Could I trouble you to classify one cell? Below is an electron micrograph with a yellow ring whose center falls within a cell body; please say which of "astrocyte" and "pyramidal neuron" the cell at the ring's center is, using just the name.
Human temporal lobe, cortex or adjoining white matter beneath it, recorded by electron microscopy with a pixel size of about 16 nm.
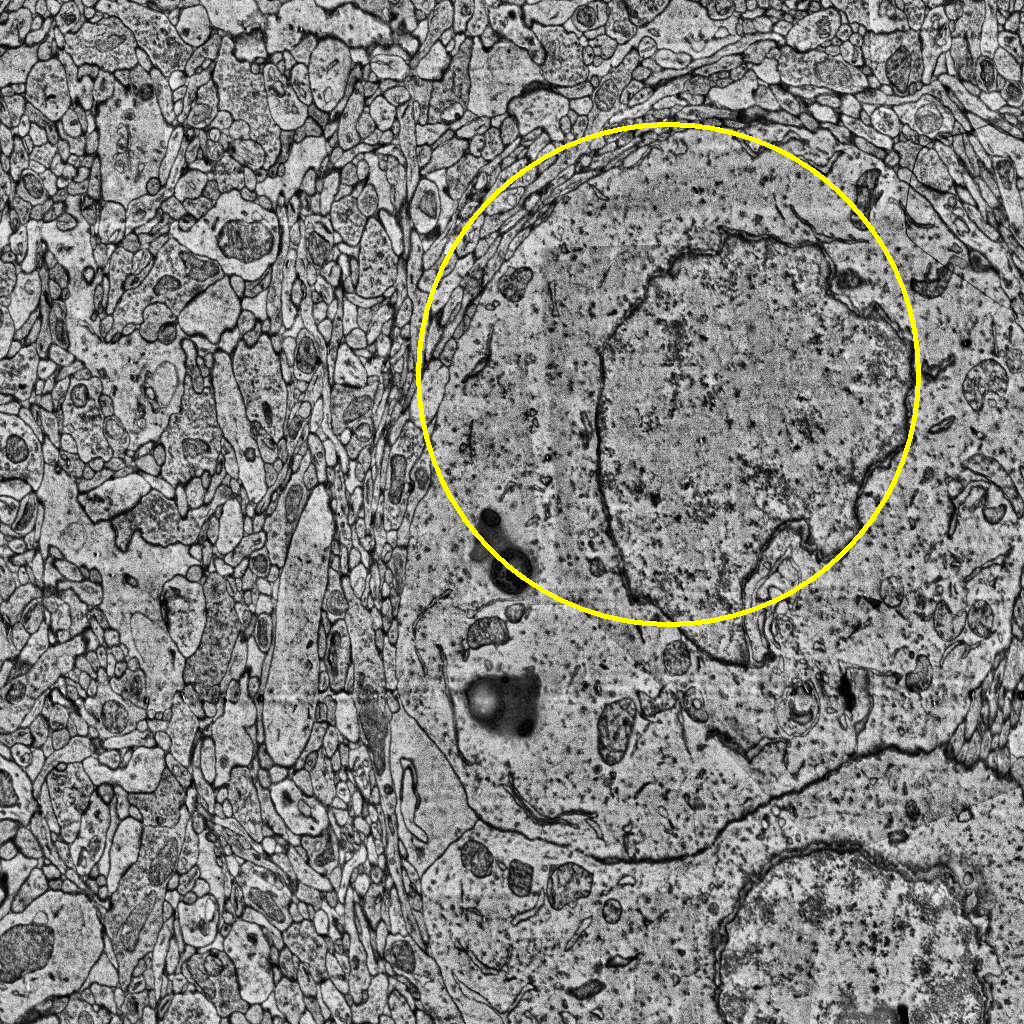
pyramidal neuron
